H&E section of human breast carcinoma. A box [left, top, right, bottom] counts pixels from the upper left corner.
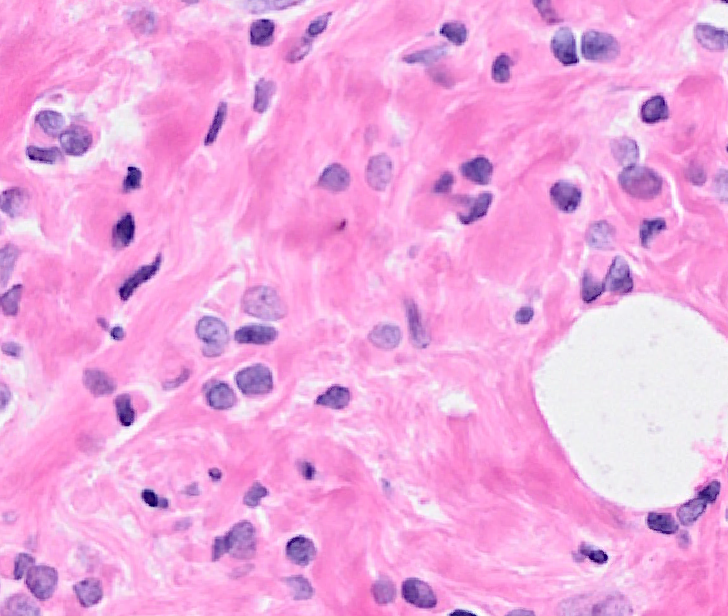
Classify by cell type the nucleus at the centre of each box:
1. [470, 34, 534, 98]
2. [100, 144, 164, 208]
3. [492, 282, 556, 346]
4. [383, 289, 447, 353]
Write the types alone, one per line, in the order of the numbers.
lymphocyte
lymphocyte
lymphocyte
fibroblast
